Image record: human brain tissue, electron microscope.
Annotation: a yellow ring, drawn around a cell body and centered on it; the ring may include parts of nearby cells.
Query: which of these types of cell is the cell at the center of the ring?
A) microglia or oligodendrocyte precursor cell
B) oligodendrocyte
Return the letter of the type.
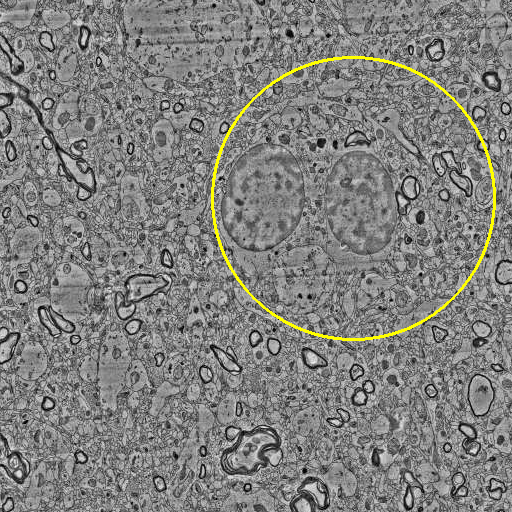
B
